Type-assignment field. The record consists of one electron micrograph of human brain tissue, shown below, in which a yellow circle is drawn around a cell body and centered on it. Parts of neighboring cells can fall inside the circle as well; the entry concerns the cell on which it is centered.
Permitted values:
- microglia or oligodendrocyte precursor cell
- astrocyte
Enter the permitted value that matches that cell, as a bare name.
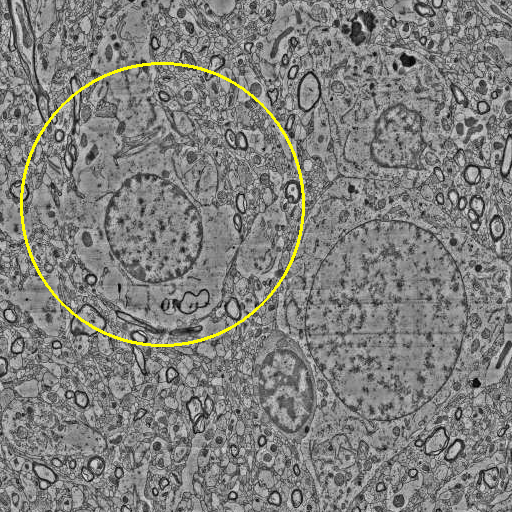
astrocyte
